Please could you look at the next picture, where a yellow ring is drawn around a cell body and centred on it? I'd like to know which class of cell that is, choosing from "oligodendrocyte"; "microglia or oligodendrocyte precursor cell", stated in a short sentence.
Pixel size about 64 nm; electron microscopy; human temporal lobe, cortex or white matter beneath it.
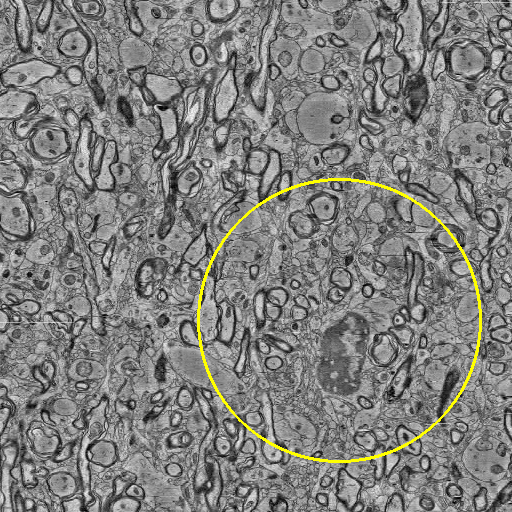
The ring's centre lies on a microglial cell or oligodendrocyte precursor cell.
